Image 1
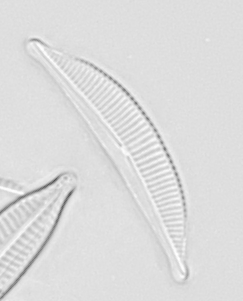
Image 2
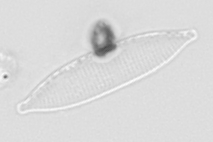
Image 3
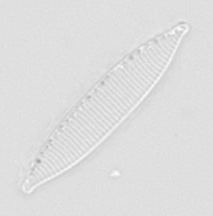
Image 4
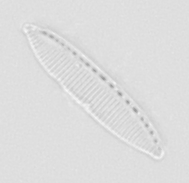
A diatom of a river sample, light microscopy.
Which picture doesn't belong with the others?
Picture 1.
